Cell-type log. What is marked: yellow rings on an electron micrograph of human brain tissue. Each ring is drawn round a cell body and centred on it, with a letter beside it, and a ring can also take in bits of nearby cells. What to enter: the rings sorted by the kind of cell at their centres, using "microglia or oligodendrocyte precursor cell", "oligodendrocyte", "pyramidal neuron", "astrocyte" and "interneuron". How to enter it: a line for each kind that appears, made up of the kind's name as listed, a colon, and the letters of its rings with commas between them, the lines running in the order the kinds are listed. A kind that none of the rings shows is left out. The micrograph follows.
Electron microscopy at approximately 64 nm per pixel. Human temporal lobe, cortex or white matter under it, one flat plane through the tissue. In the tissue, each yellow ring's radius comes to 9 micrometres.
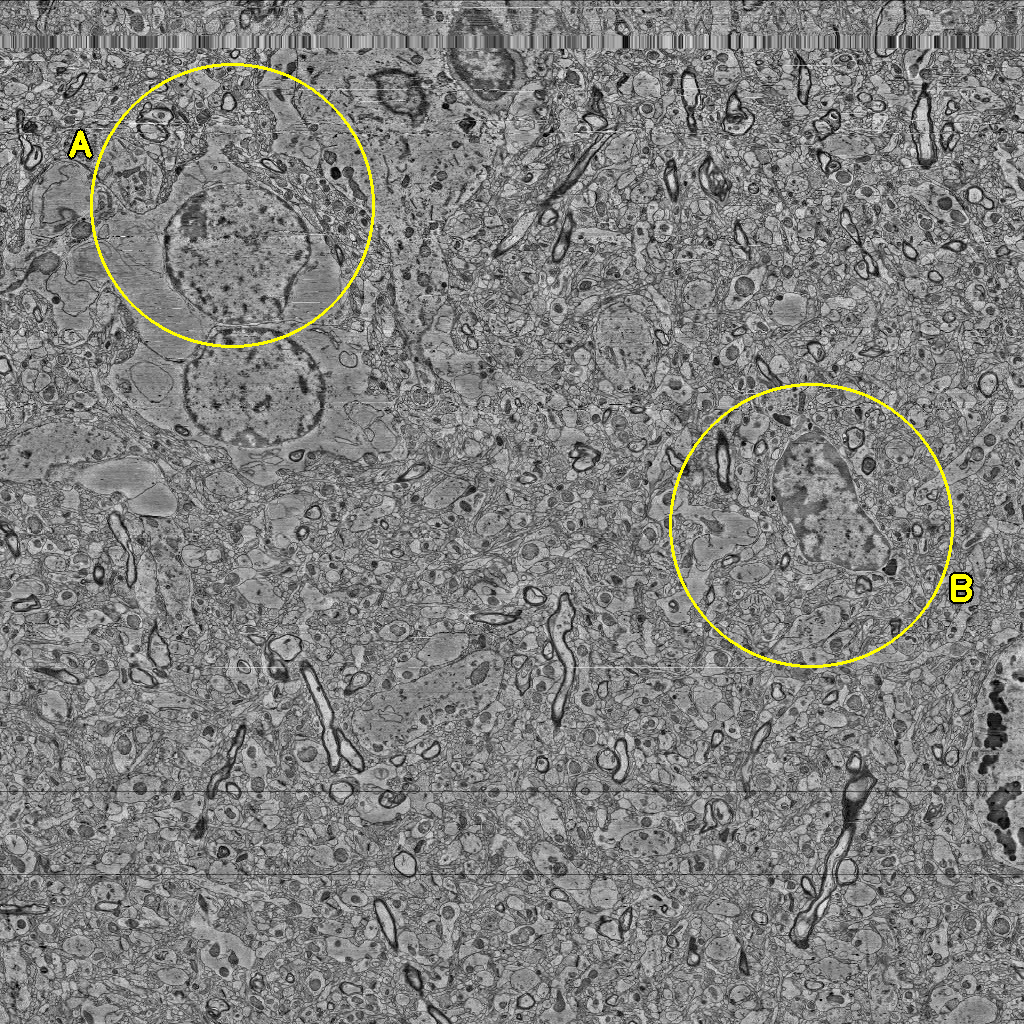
microglia or oligodendrocyte precursor cell: B
astrocyte: A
